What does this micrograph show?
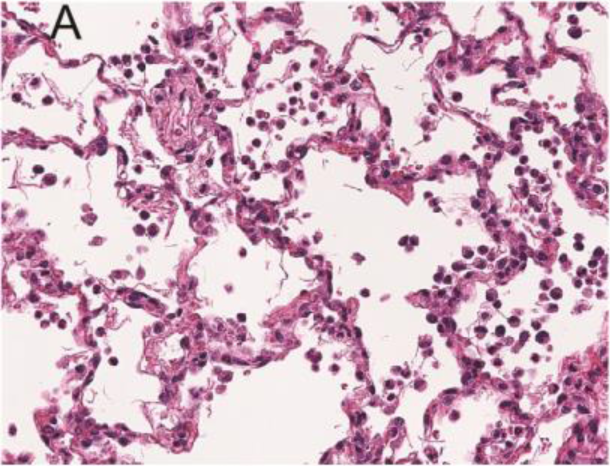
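This is lung with thin pink alveolar walls around air spaces, and the striking thing is the many round cells with dark purple nuclei. They lie free within the alveolar spaces and crowd the septa, a picture of leukocytic infiltration and inflammation.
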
